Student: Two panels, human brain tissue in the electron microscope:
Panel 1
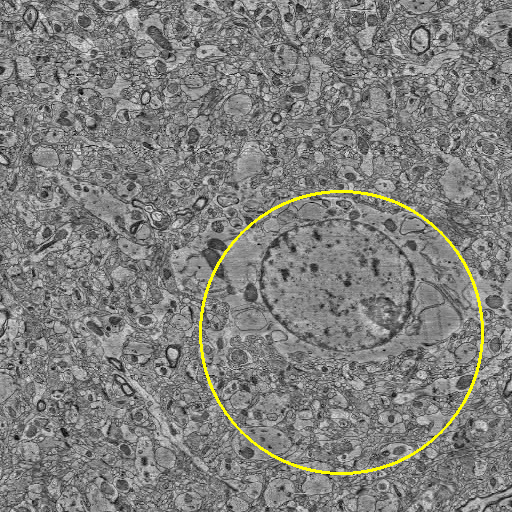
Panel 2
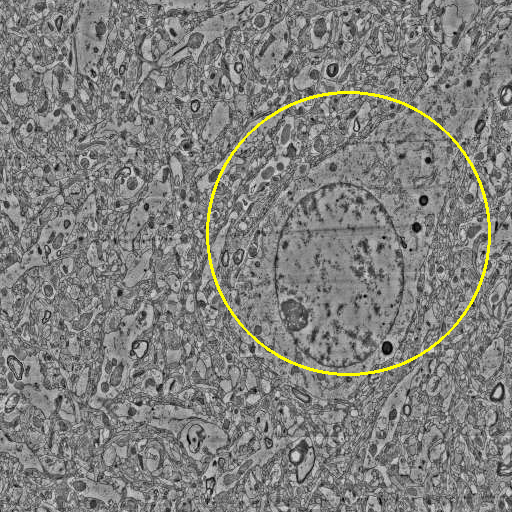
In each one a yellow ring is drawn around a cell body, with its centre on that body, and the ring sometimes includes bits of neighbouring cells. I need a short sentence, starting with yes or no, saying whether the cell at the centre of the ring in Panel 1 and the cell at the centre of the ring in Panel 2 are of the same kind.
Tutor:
No, they are two kinds of cell.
